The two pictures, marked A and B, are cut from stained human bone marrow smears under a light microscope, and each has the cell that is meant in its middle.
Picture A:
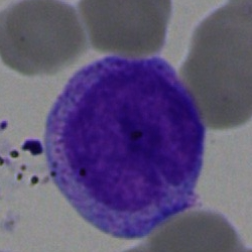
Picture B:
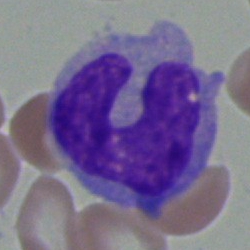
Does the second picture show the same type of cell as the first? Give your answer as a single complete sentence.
No, picture A shows a promyelocyte and picture B shows a monocyte.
